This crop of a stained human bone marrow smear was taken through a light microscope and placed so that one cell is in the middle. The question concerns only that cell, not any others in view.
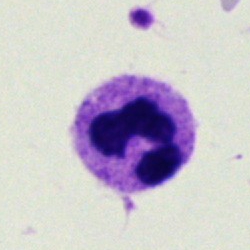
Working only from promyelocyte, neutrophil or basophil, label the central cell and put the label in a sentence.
The cell featured at the centre of this crop is a neutrophil.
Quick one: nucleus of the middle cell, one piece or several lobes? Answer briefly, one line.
If you check the nucleus, you will find it split into two or more lobes.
